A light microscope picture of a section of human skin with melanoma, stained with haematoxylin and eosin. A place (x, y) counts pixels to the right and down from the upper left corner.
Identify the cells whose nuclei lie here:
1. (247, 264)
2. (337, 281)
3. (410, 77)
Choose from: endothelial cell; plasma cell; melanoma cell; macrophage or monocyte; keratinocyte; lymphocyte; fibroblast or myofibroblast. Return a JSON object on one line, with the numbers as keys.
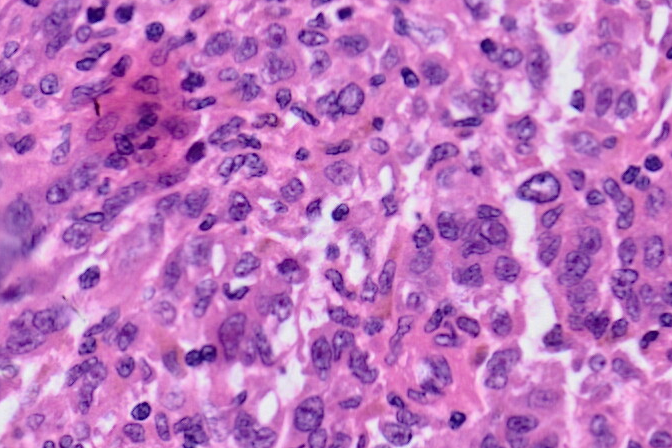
{"1": "melanoma cell", "2": "macrophage or monocyte", "3": "lymphocyte"}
